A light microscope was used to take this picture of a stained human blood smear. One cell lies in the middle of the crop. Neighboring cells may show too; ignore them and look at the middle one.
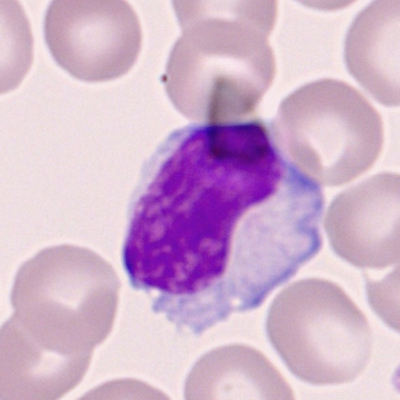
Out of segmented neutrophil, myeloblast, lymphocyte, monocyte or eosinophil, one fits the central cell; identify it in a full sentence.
The centrally located cell in the crop is a lymphocyte.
